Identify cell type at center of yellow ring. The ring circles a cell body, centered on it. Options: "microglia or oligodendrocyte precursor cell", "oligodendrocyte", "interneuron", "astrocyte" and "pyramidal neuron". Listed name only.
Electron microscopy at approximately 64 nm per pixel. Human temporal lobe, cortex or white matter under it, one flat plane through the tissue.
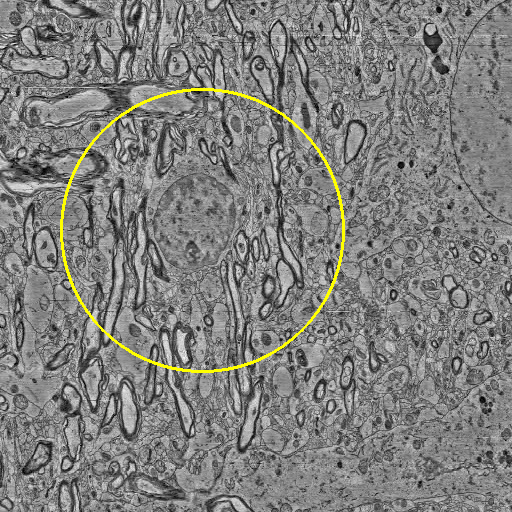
oligodendrocyte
